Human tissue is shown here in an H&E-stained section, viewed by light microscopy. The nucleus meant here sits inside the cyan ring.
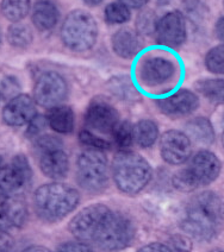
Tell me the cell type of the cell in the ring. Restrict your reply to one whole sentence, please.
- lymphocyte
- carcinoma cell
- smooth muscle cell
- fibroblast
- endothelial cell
The correct response here is that the cell in the ring is a carcinoma cell.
